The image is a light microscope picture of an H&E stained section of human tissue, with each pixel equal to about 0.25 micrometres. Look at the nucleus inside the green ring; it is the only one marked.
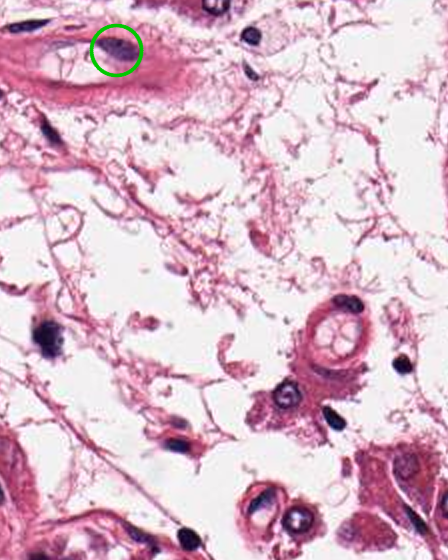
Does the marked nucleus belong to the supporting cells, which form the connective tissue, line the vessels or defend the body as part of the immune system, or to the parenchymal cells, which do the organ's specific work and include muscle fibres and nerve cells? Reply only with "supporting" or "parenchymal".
supporting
